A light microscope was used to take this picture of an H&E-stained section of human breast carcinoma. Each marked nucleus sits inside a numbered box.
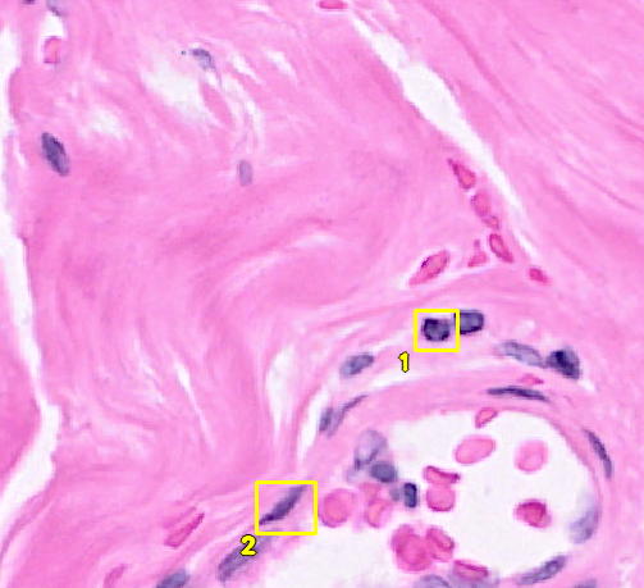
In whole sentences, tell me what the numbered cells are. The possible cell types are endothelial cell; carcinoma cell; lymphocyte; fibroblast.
Cell 1 is a lymphocyte and cell 2 is an endothelial cell.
